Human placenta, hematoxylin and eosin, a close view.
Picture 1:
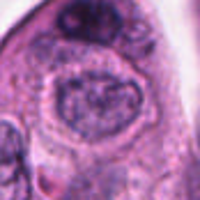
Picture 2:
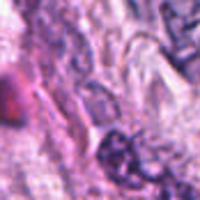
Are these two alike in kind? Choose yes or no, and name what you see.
Yes. Cytotrophoblasts.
